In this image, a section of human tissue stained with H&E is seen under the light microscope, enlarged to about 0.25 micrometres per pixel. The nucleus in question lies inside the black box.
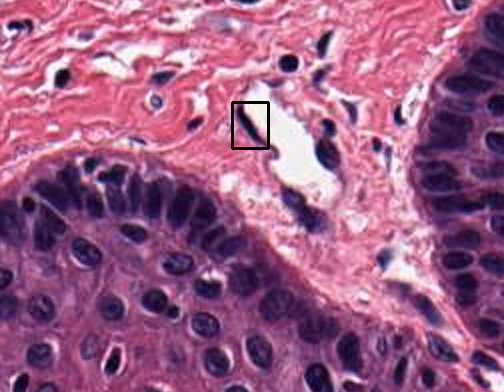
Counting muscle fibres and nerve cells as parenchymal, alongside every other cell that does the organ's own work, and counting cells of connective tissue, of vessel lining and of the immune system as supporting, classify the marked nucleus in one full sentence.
Here the marked nucleus is the nucleus of a supporting cell.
